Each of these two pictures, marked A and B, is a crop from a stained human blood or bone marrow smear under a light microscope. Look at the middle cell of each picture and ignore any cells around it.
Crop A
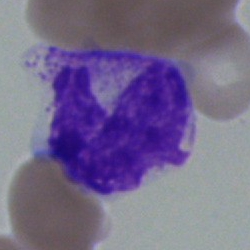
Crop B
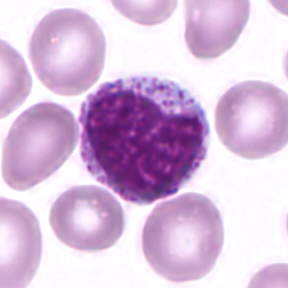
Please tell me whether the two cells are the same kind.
yes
